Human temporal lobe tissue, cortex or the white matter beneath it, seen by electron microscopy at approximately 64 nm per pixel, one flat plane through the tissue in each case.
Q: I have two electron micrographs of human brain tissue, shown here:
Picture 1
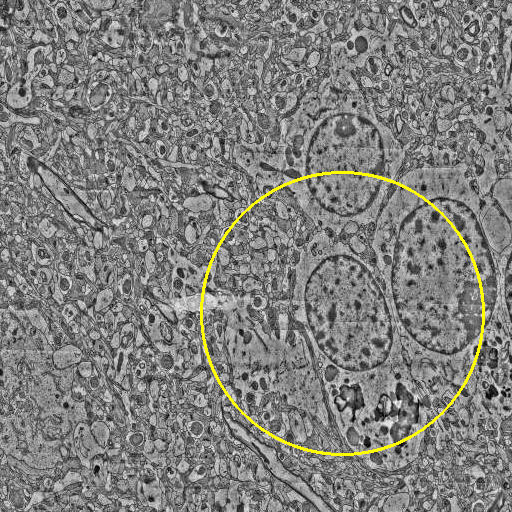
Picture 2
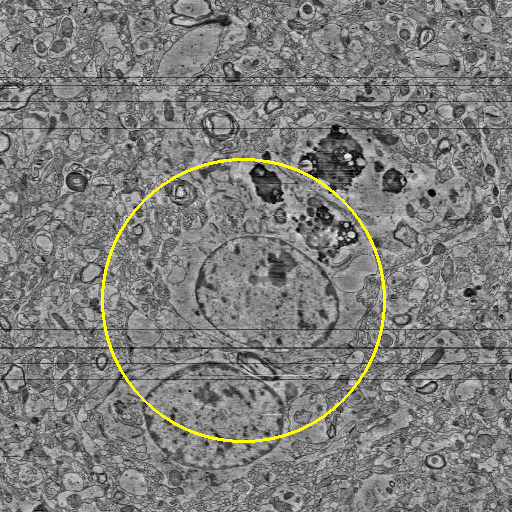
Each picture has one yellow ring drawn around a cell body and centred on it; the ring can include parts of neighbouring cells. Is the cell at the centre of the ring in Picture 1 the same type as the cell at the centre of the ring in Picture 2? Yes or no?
yes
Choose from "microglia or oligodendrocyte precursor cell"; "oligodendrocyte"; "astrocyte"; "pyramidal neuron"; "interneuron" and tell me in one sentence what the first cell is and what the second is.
Each of the two cells is an astrocyte.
